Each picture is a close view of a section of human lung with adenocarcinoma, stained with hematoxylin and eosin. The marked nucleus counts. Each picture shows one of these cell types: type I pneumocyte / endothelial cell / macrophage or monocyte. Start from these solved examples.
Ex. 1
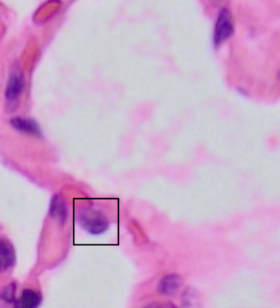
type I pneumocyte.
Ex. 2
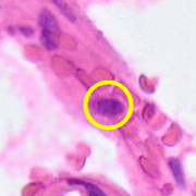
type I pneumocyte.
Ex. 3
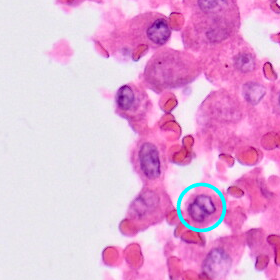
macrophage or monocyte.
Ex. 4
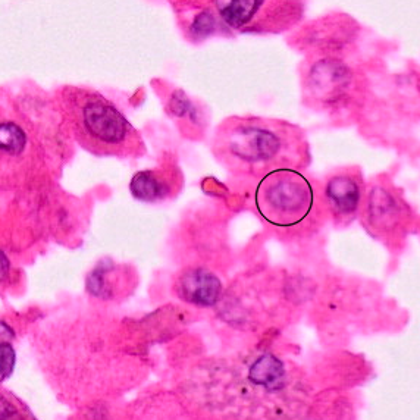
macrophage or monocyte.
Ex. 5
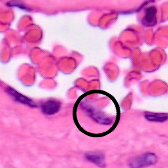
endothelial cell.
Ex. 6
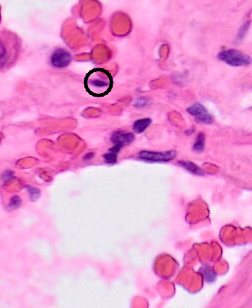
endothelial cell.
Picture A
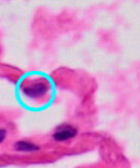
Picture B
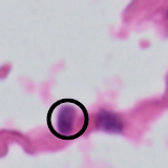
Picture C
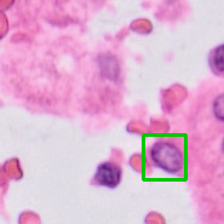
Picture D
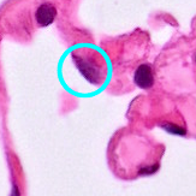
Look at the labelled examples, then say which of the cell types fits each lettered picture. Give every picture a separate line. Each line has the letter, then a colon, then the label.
A: type I pneumocyte.
B: type I pneumocyte.
C: macrophage or monocyte.
D: type I pneumocyte.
